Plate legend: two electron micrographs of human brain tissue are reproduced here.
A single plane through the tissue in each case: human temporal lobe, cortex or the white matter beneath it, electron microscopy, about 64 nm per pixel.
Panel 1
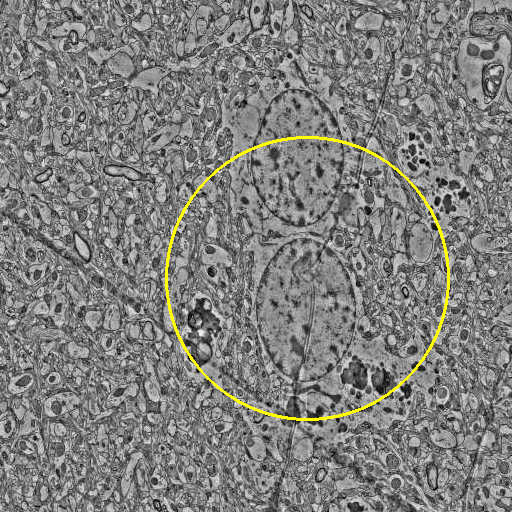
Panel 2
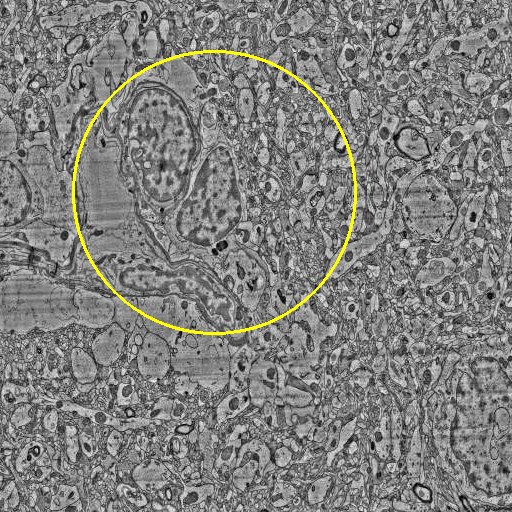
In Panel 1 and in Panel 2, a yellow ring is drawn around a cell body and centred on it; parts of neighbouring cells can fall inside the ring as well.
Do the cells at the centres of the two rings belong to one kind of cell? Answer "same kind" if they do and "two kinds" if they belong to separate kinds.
two kinds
